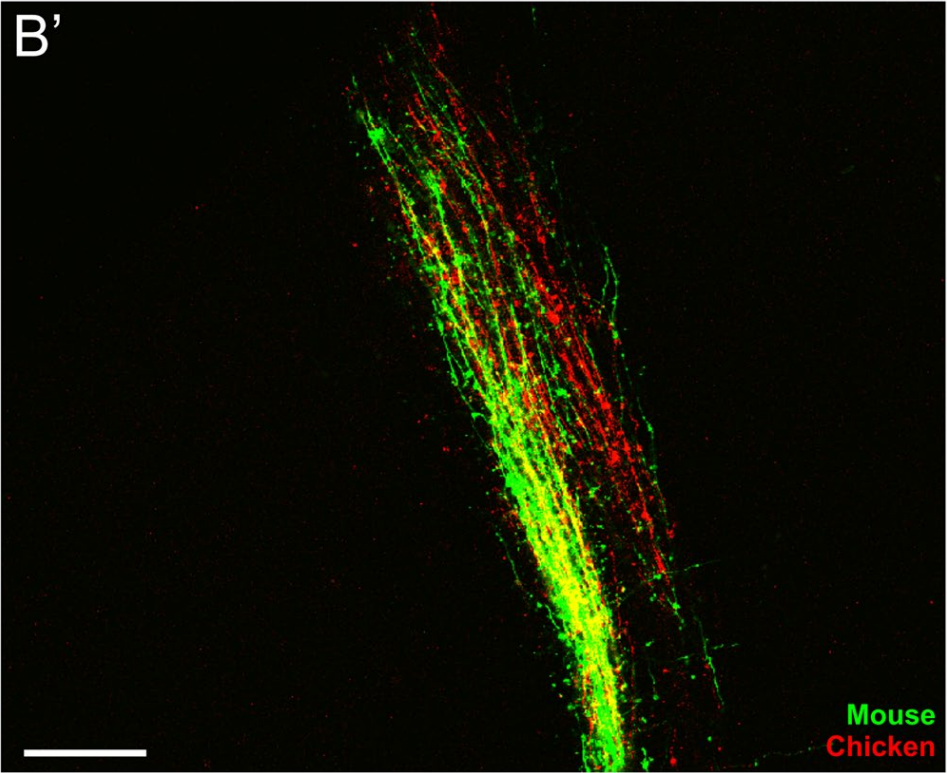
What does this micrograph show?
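The fibers are thin and long, running roughly in parallel and fanning out slightly as they course diagonally across the field. Many carry small bead-like swellings along their length. Green and red fibers are mixed together in one bundle rather than lying in separate tracts, and where they overlap closely the bundle appears yellow, especially toward its narrow lower end. A few isolated fibers stray from the edges of the main bundle.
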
